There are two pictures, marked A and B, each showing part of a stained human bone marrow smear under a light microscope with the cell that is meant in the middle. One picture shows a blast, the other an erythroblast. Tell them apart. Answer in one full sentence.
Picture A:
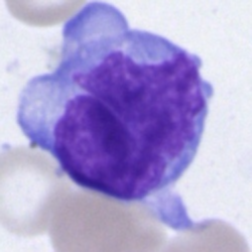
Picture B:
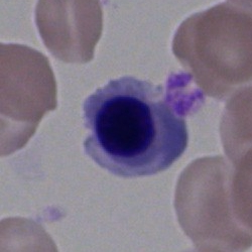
Picture A shows a blast and picture B shows an erythroblast.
